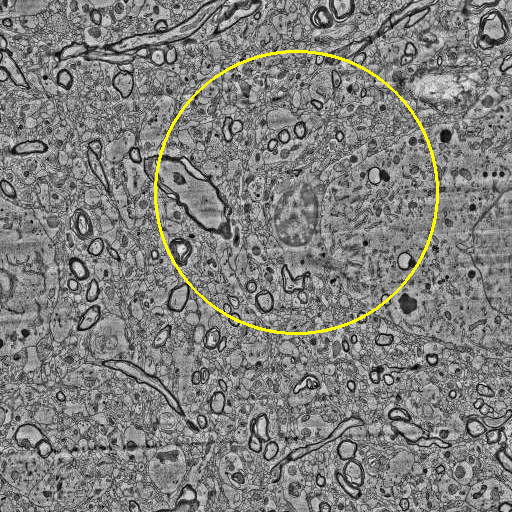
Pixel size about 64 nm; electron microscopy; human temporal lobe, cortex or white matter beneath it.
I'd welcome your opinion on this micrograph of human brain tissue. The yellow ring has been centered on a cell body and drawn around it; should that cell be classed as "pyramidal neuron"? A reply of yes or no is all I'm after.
no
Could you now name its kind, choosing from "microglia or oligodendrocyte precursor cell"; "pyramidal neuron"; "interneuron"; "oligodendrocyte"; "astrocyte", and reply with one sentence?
This picture has an oligodendrocyte at the centre of its ring.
